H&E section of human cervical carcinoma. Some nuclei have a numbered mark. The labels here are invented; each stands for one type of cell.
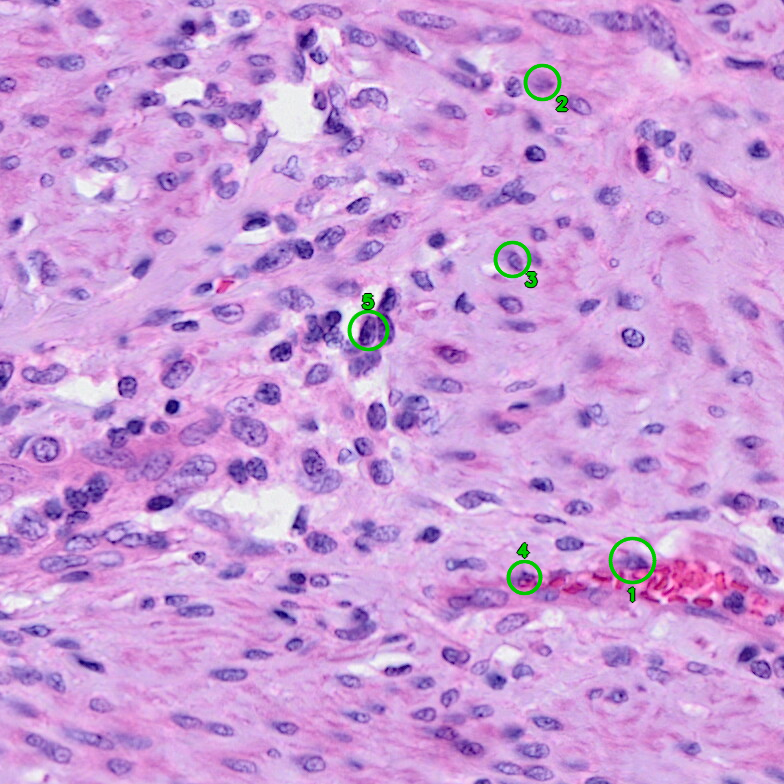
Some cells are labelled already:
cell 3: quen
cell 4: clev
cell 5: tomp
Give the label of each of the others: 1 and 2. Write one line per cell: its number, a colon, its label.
1: clev
2: quen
